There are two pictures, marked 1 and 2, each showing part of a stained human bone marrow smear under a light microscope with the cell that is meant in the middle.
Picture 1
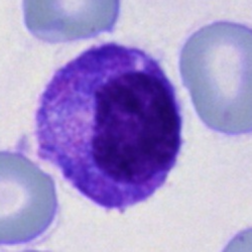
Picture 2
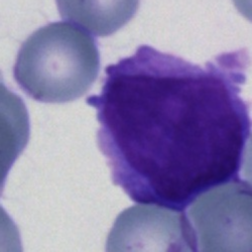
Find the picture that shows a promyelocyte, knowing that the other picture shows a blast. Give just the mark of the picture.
1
